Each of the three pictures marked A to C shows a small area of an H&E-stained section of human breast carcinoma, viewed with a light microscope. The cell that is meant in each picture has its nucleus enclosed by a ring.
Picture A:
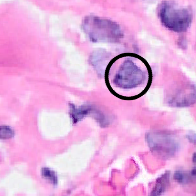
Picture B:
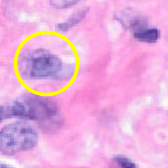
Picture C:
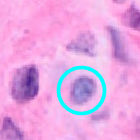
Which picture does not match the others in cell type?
A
